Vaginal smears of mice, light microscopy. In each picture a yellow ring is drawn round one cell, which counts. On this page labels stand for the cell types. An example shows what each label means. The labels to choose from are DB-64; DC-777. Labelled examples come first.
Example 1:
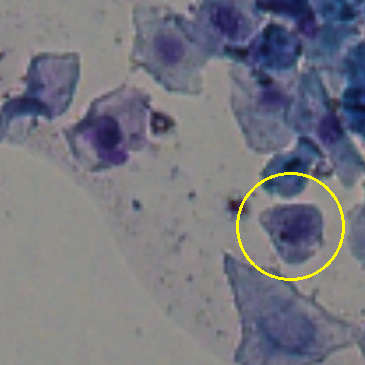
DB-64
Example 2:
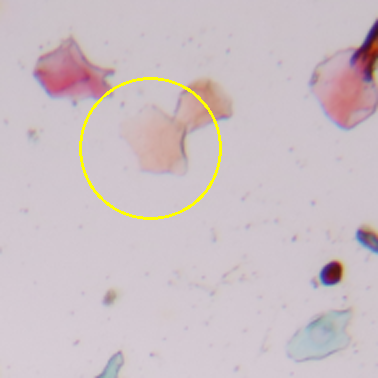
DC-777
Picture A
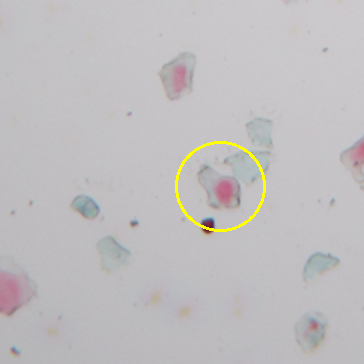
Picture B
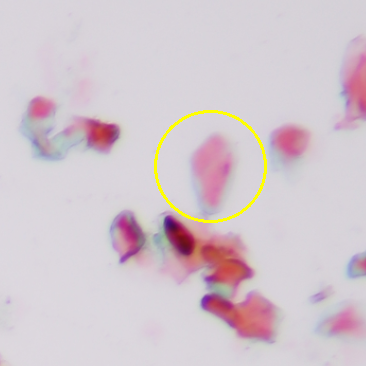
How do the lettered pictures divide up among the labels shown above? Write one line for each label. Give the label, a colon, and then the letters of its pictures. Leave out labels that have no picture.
DB-64: A
DC-777: B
